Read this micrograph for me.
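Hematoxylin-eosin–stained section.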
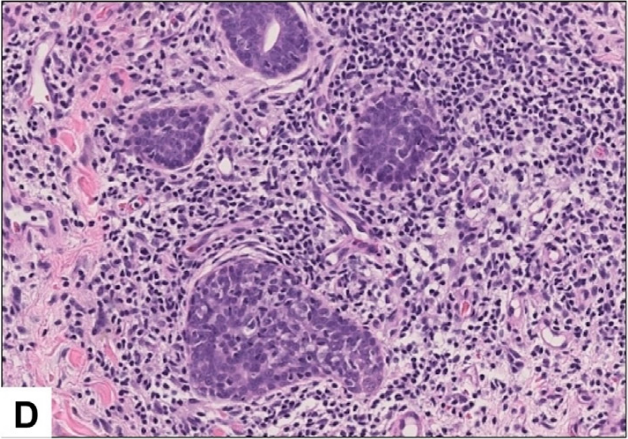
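Dermis with several enlarged eccrine gland units made of rounded nests of basophilic epithelial cells, one forming a small duct with a central lumen. The nests are surrounded by a dense infiltrate of small lymphocytes with dark round nuclei and scant cytoplasm. Some lymphocytes appear to lie within the edges of the epithelial nests. Strands of pink collagen border the infiltrate at the left.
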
